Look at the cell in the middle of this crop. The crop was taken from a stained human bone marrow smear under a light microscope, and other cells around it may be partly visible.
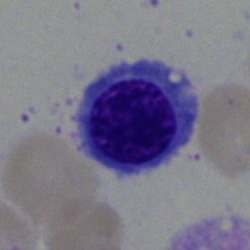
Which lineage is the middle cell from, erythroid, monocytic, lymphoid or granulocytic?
erythroid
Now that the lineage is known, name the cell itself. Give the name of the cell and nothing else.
erythroblast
